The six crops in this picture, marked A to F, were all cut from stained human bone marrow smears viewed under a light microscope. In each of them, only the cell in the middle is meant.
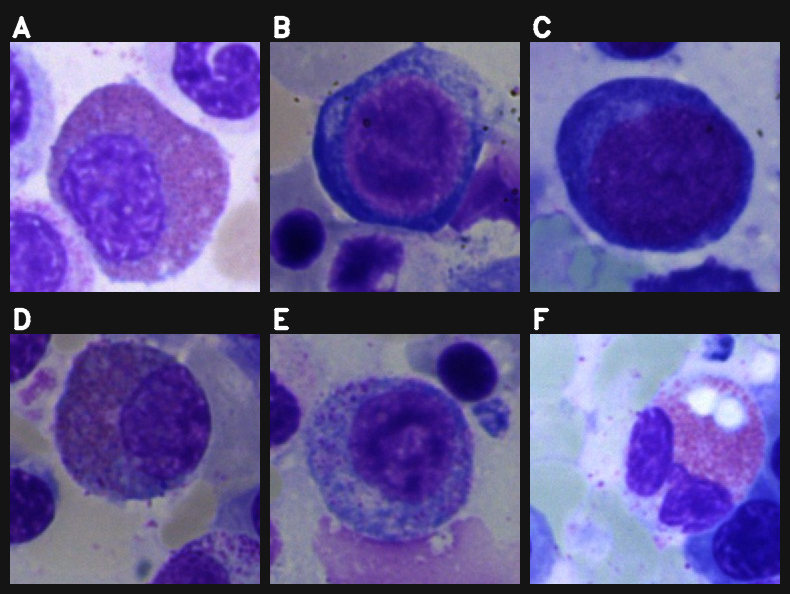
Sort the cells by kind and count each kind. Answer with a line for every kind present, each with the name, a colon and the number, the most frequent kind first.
eosinophil: 3
proerythroblast: 2
promyelocyte: 1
